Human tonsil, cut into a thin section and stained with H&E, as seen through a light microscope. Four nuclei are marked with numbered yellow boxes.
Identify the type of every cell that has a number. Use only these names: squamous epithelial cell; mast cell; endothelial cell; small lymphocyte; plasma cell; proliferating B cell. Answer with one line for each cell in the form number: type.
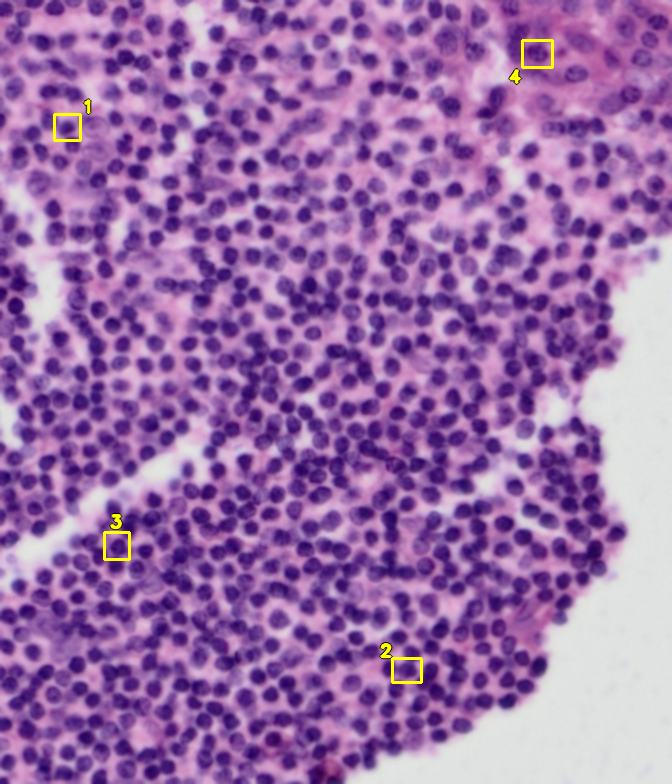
1: small lymphocyte
2: small lymphocyte
3: small lymphocyte
4: plasma cell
